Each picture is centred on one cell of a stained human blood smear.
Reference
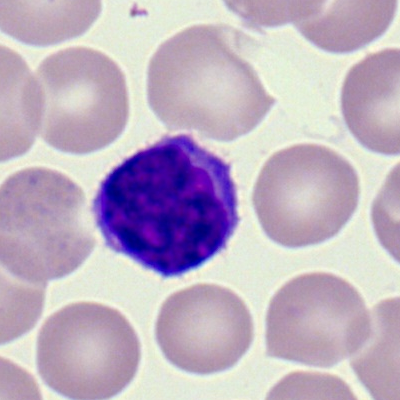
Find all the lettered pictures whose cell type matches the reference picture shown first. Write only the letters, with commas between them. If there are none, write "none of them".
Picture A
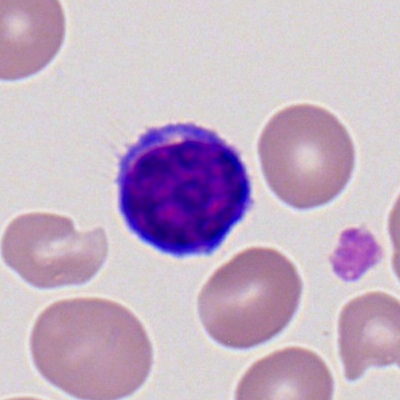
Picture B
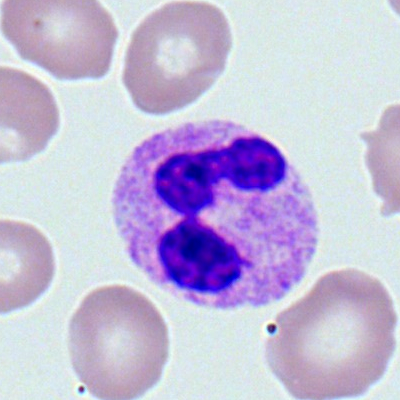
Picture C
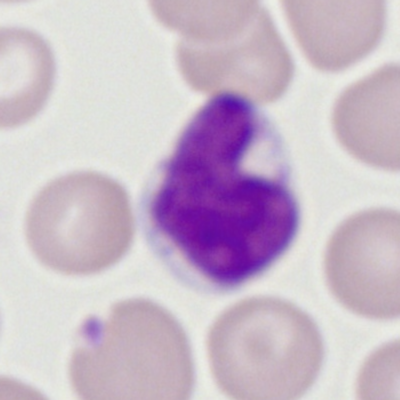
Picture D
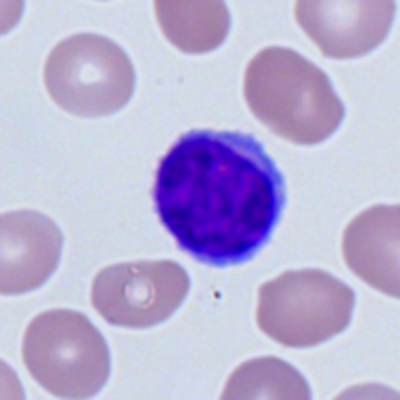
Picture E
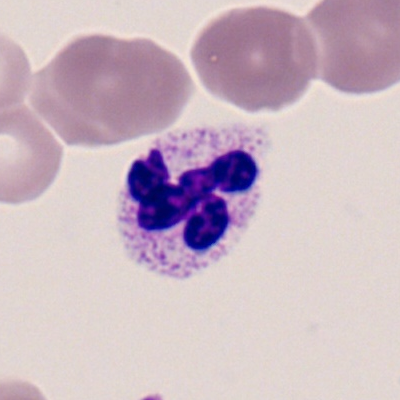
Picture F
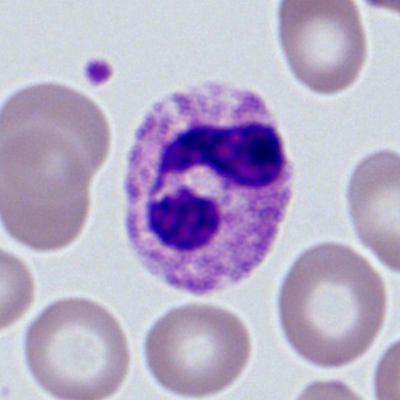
A, C, D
